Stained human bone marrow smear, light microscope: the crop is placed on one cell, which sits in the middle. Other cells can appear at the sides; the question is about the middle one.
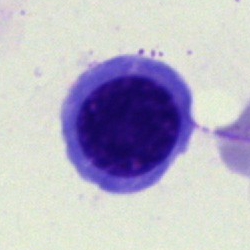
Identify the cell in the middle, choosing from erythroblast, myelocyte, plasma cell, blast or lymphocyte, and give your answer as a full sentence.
Answering briefly, the cell in the middle is an erythroblast.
